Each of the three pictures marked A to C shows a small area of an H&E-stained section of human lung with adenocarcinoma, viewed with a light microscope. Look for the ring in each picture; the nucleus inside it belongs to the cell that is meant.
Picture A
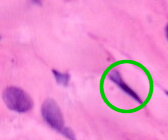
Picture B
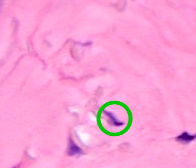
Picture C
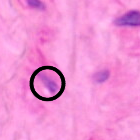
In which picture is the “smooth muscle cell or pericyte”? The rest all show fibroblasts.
C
